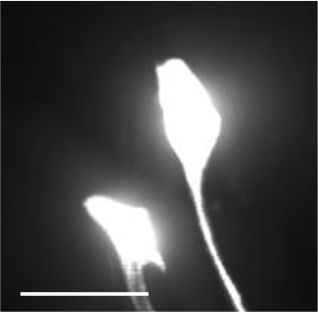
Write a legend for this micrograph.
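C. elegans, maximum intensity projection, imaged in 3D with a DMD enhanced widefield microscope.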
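Two neurons glow bright white against a dark, slightly hazy background. A long, thin, smooth process runs downward and slightly right from it to the lower edge of the image. The lower neuron sits to the left and lower down. Its cell body is smaller and angular, and fainter, streaky material extends below it toward the bottom. A diffuse glow surrounds both cell bodies, so their edges look soft. No internal detail of the cell bodies can be made out. A white scale bar lies along the lower left.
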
